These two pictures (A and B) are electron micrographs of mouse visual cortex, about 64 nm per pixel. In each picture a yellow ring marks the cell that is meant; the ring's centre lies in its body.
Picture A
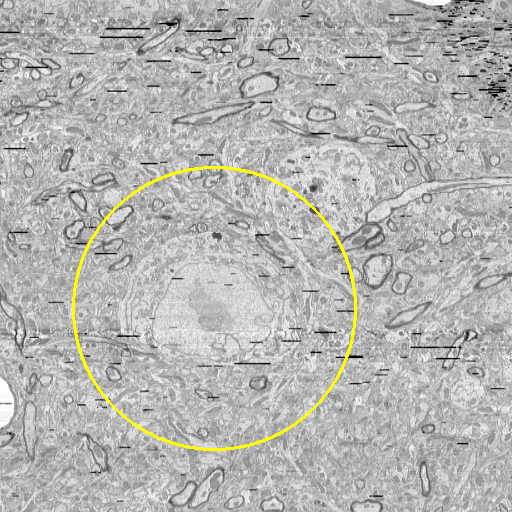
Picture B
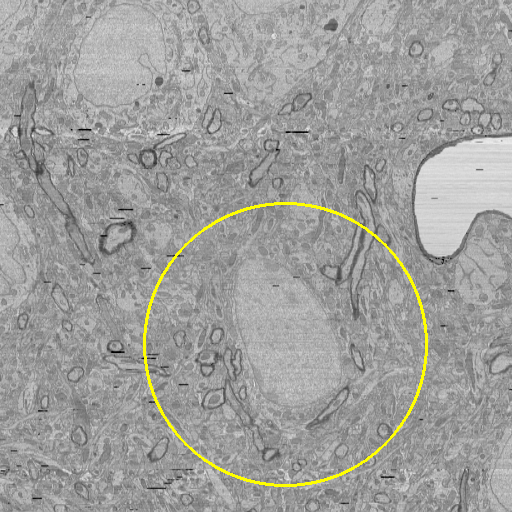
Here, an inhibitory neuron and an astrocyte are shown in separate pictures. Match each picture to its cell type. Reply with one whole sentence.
Picture B shows an astrocyte, while picture A shows an inhibitory neuron.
